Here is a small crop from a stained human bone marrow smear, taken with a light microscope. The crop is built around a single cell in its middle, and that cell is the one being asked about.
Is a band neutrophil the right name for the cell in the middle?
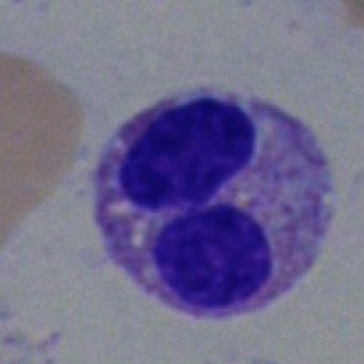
no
